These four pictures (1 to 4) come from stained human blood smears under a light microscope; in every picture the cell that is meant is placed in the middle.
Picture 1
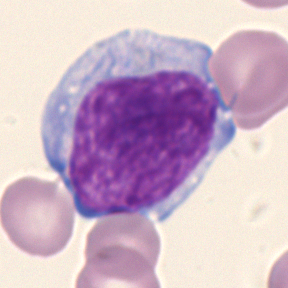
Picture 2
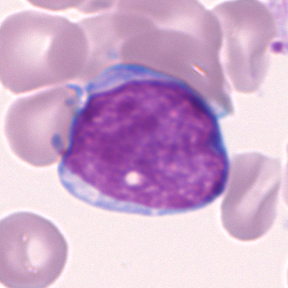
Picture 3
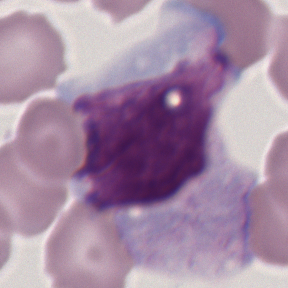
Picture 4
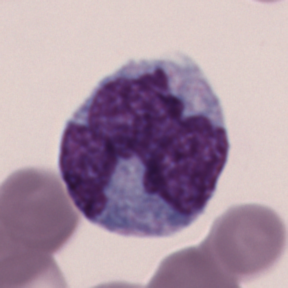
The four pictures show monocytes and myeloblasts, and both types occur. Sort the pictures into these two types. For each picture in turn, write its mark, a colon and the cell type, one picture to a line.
1: myeloblast
2: myeloblast
3: monocyte
4: monocyte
